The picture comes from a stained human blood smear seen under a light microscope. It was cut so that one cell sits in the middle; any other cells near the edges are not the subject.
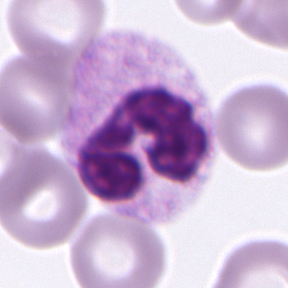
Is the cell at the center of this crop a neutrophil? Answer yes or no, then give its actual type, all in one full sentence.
Yes, in the middle of the crop is a neutrophil.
